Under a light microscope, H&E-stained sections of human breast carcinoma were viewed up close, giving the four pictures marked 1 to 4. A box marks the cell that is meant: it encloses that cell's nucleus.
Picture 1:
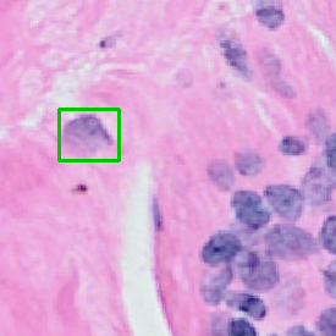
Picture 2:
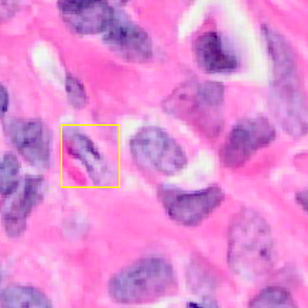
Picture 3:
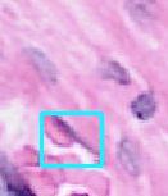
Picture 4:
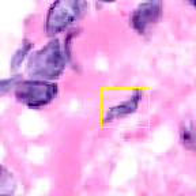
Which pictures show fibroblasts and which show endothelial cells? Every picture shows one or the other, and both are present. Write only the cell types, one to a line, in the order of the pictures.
fibroblast
endothelial cell
endothelial cell
fibroblast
